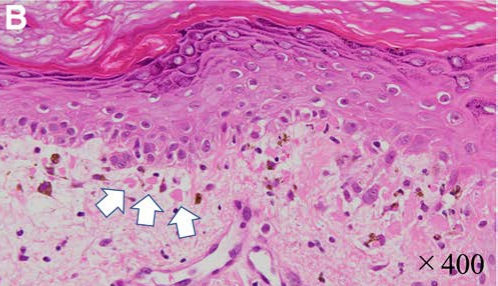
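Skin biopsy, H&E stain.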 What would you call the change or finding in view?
Vacuolar degeneration.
